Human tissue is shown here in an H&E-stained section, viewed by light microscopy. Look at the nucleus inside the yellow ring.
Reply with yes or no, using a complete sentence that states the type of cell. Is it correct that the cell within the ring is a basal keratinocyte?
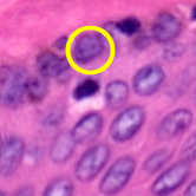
Yes, what the cell within the ring represents in this tissue is a basal keratinocyte.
